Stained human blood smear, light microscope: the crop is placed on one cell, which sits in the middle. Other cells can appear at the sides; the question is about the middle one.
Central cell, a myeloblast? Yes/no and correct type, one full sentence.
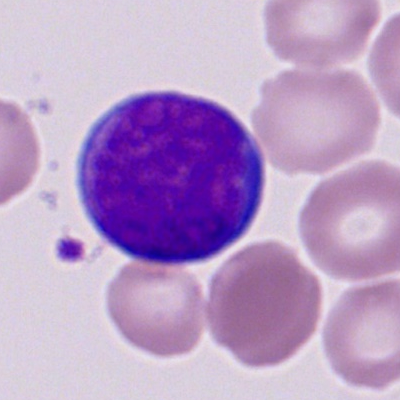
Yes, placed in the middle of the crop is a myeloblast.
